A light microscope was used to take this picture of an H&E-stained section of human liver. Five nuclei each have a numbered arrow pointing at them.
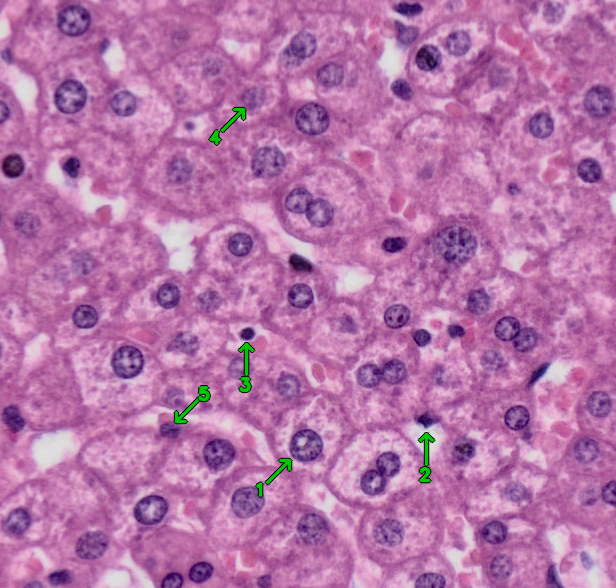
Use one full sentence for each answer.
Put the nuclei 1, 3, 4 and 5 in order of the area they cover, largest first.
Going from the biggest nucleus down to the smallest gives 1, 4, 5, 3.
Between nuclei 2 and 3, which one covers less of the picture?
Nucleus 3 is the smaller one; nucleus 2 covers about 1.5 times its area.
